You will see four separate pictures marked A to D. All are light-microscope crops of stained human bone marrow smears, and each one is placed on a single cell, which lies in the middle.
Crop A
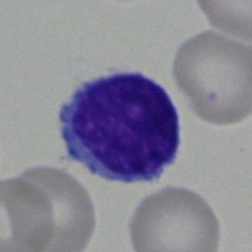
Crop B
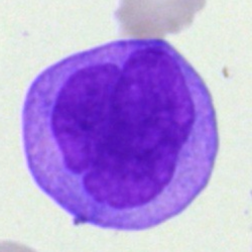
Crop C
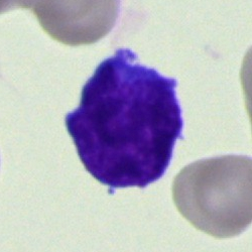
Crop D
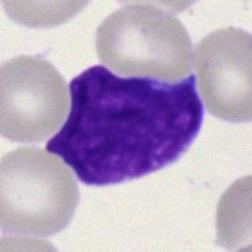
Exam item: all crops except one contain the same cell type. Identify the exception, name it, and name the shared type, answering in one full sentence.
In contrast to the other crops, all of which show blasts, crop A shows a lymphocyte.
